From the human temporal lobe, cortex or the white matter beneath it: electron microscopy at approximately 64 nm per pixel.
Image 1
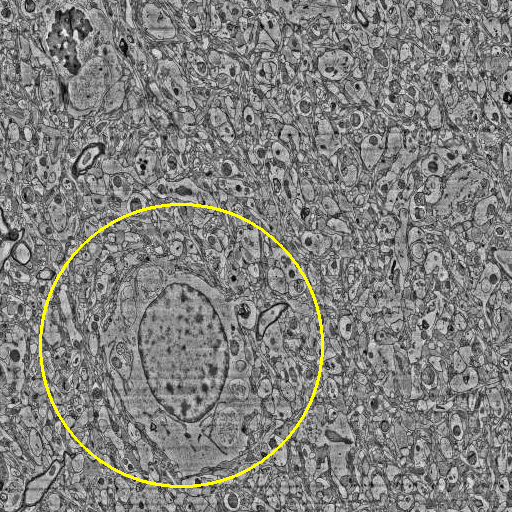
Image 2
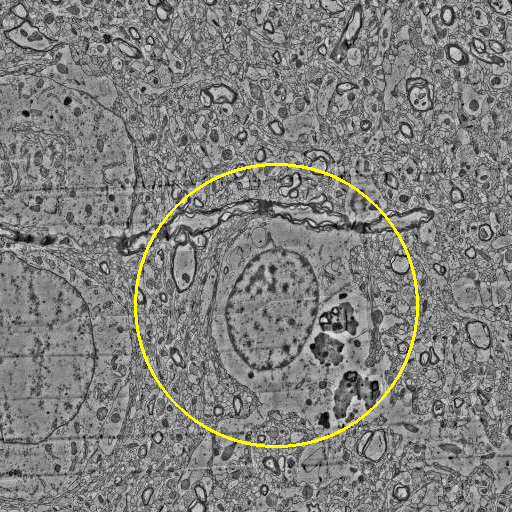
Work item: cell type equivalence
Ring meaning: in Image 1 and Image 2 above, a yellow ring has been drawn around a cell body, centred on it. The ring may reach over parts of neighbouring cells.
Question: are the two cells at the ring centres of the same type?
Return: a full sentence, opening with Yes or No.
Yes, the two centred cells are of the same type.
